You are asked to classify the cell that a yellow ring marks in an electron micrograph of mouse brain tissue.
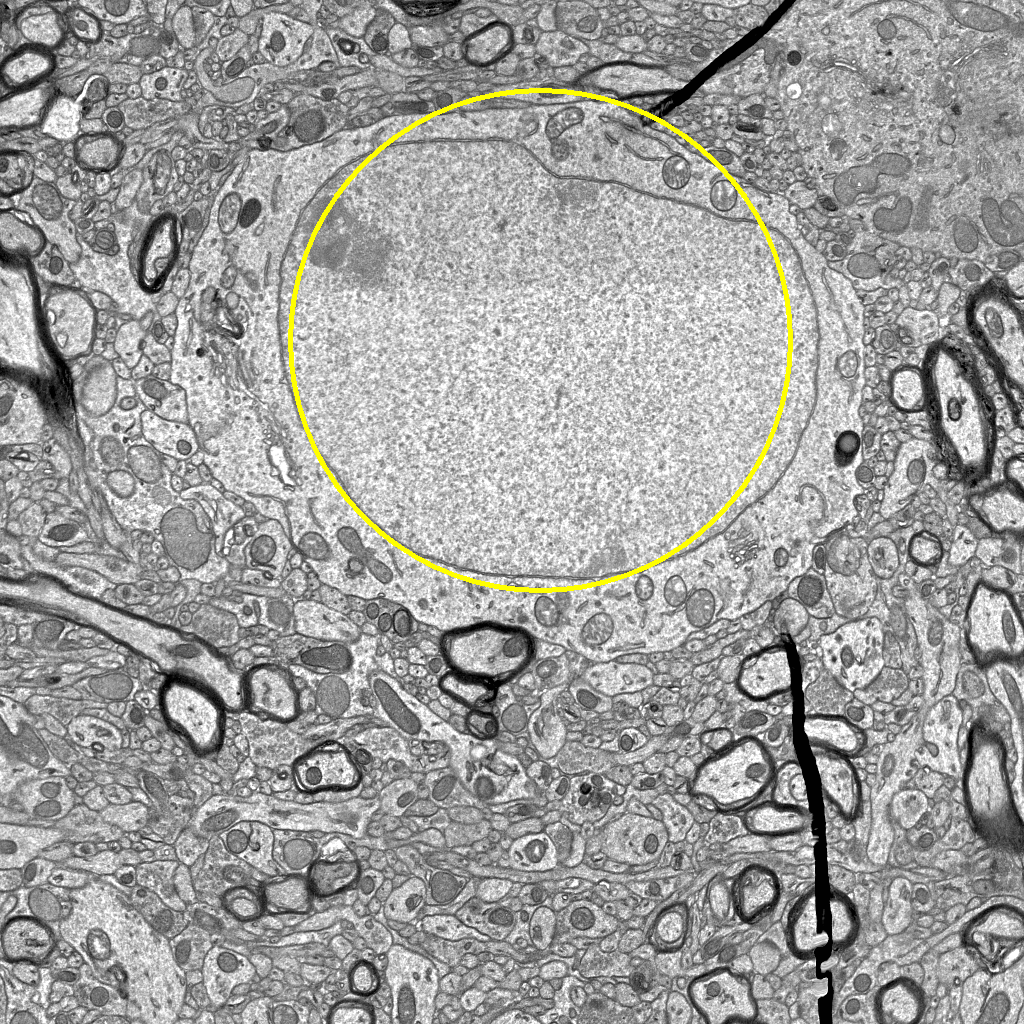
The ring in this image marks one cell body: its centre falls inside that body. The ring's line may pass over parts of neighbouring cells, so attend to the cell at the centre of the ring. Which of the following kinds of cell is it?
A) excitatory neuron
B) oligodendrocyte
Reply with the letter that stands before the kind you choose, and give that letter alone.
A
